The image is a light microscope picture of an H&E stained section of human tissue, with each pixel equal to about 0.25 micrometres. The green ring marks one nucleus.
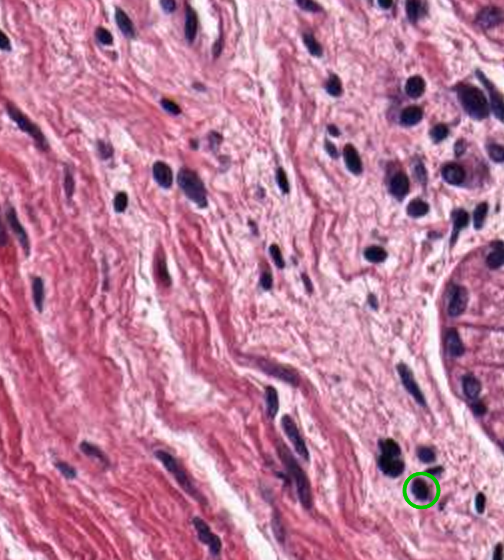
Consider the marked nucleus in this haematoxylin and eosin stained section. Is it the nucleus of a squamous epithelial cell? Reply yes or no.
no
